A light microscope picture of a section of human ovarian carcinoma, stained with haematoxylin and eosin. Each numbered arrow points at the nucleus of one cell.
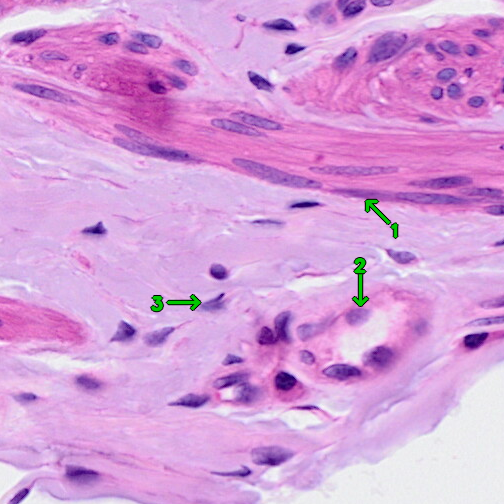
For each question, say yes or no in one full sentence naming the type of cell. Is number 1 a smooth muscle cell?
Yes, the cell that bears the number 1 is a smooth muscle cell.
